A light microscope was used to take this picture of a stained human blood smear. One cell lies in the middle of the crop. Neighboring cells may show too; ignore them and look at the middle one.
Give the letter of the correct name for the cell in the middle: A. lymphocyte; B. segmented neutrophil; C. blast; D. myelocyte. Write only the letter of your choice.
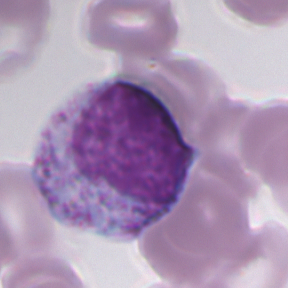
D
